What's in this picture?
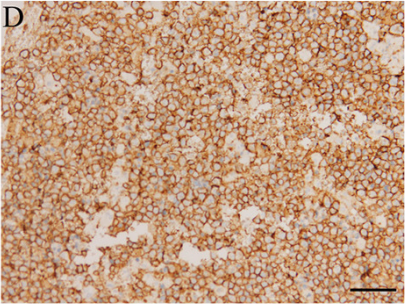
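A sheet of closely packed neoplastic cells covers the field, nearly every one outlined by a strong brown ring at the cell border, so that the section looks like a honeycomb of brown circles. The cells are of fairly even, large size and lie back to back with little stroma between them; a few pale clear spaces break the sheet, mainly toward the lower part of the field.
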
